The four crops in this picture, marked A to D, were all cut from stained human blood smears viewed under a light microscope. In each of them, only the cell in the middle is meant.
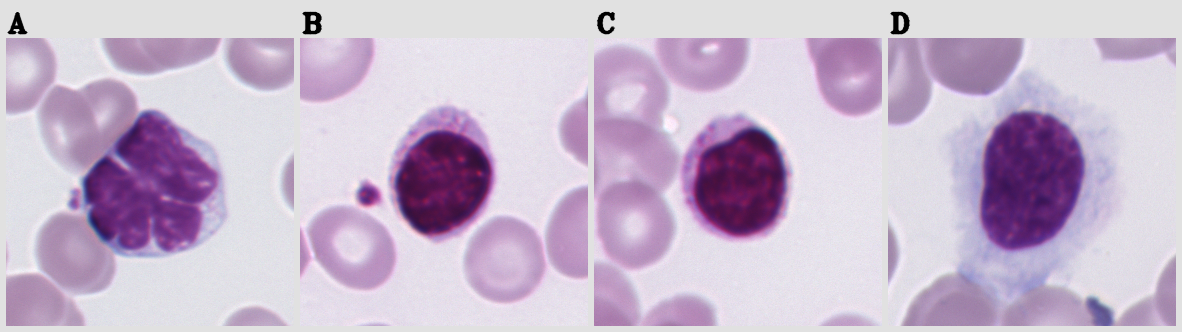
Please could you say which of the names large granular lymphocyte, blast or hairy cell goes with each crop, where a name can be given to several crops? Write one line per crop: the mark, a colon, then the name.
A: large granular lymphocyte
B: large granular lymphocyte
C: large granular lymphocyte
D: hairy cell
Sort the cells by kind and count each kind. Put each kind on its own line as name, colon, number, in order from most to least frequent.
large granular lymphocyte: 3
hairy cell: 1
